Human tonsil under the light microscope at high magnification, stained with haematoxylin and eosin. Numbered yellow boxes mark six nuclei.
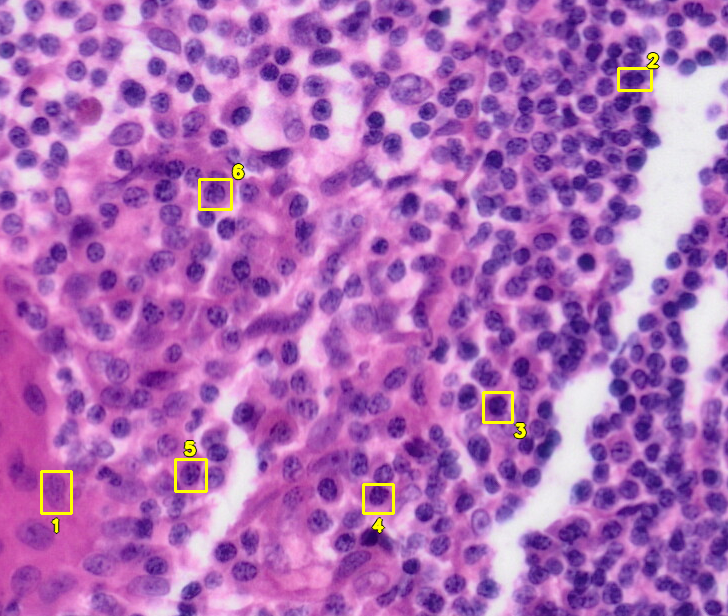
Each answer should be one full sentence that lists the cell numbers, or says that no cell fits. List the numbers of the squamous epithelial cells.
Only the cell numbered 1 qualifies as a squamous epithelial cell among the marked cells.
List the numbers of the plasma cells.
The cells that the numbers 3, 4, 5 and 6 belong to are plasma cells.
